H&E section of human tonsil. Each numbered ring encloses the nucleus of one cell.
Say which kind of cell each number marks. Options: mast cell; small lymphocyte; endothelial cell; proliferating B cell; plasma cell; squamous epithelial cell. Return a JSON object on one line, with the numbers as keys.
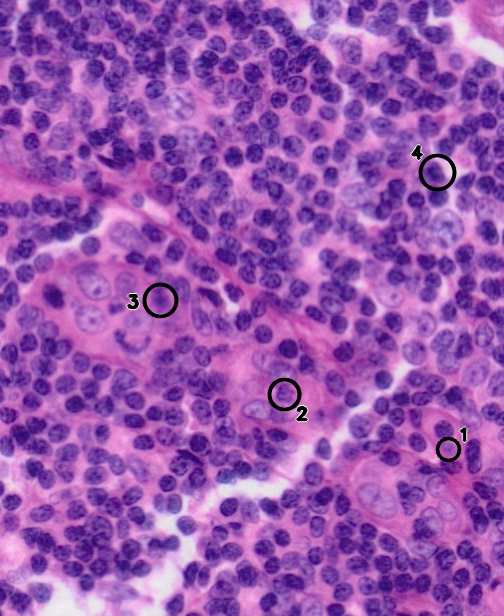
{"1": "endothelial cell", "2": "endothelial cell", "3": "endothelial cell", "4": "small lymphocyte"}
